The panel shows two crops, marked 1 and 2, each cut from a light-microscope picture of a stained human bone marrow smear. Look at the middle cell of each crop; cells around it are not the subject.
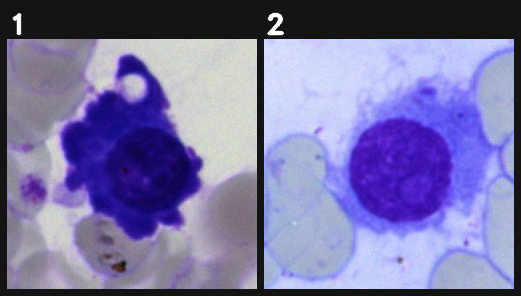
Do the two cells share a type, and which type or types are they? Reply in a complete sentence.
Yes, both the first crop and the second crop show plasma cells.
